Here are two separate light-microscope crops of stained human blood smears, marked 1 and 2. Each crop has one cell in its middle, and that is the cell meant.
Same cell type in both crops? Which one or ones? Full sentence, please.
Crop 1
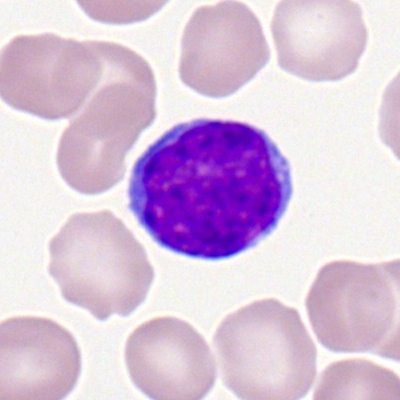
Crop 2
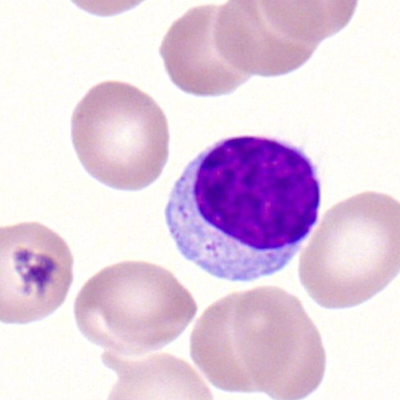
Yes, both crops show lymphocytes, and nothing else needs adding.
